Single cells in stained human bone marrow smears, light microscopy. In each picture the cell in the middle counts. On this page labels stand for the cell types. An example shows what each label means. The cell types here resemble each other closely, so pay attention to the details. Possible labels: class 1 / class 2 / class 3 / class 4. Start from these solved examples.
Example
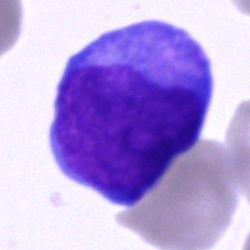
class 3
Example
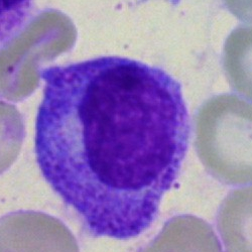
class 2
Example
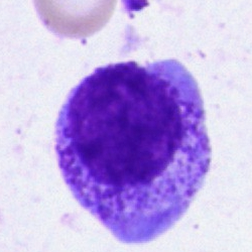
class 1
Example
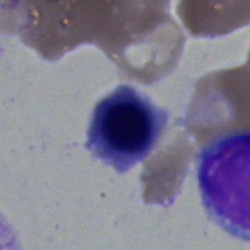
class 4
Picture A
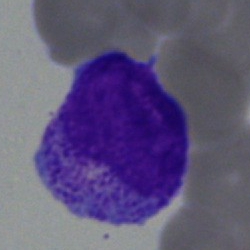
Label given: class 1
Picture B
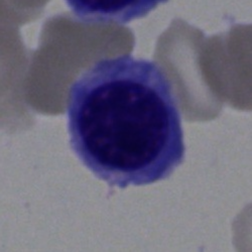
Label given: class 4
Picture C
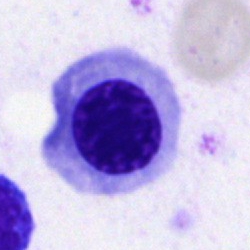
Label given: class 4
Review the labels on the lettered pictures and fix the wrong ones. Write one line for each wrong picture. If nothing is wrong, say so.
A should be class 2, not class 1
